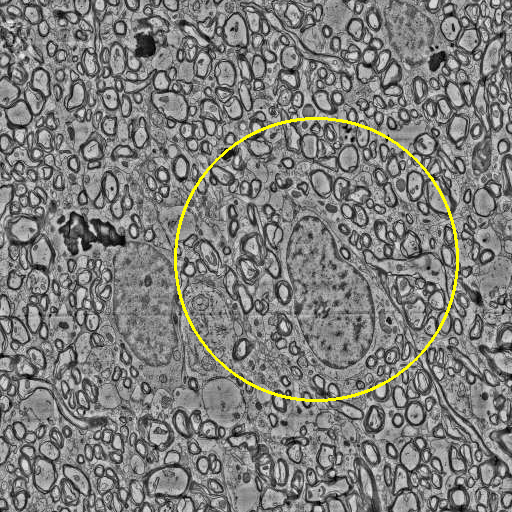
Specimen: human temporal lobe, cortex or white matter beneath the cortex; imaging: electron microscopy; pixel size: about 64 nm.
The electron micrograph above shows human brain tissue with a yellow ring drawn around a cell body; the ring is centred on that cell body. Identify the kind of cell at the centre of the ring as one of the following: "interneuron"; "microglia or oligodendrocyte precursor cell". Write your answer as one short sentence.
The cell at the centre of the ring is a microglial cell or oligodendrocyte precursor cell.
